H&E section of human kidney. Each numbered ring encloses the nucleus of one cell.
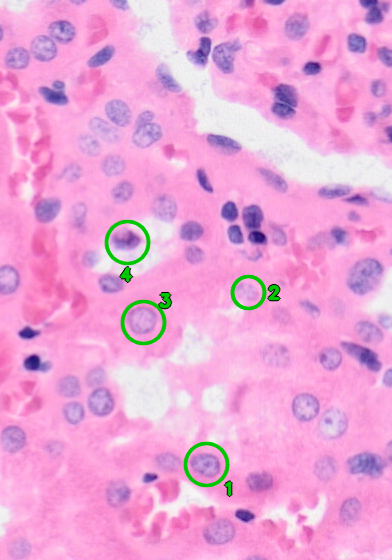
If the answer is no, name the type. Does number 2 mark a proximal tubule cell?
Yes.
